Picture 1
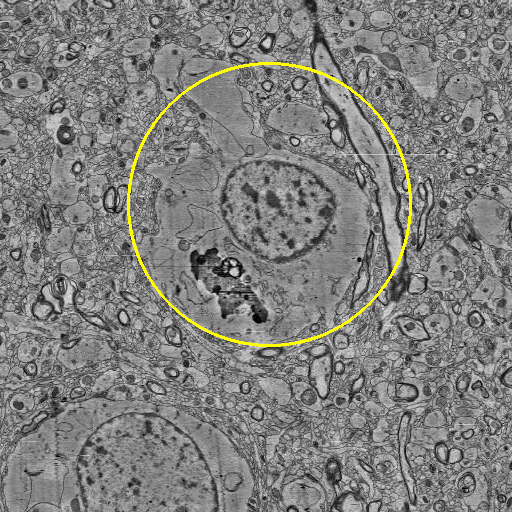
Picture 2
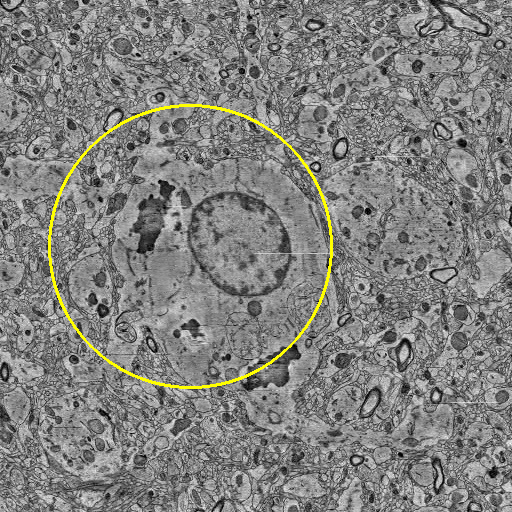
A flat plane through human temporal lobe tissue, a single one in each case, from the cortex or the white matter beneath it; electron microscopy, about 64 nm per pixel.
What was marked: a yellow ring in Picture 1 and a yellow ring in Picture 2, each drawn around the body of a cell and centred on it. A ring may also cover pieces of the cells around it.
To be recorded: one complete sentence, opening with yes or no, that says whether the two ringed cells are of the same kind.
Yes, the two ringed cells are of the same kind.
